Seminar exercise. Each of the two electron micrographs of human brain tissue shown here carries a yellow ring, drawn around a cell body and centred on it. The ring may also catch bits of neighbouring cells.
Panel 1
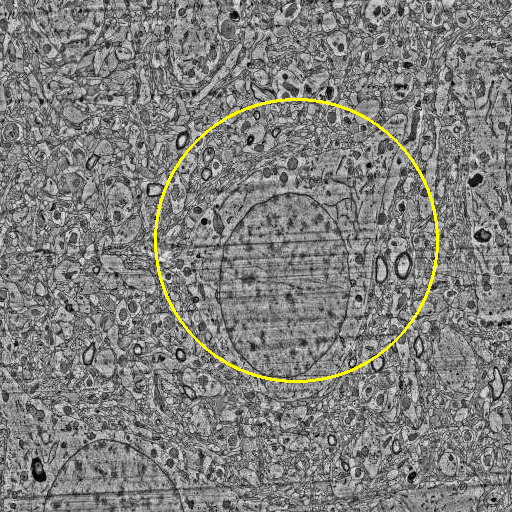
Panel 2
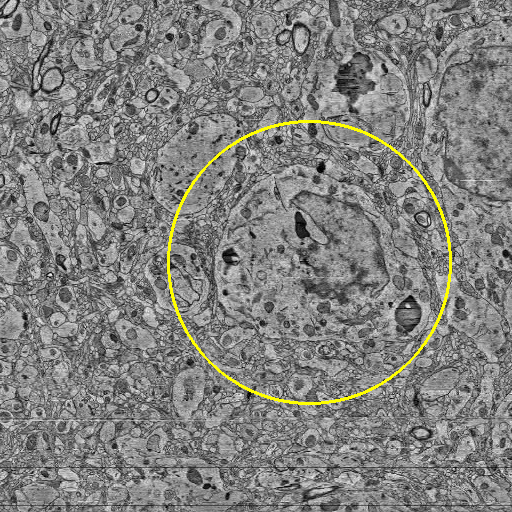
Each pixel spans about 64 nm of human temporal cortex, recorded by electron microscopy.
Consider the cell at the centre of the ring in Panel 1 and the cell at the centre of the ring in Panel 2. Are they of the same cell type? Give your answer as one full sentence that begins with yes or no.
No, the two cells are of two types.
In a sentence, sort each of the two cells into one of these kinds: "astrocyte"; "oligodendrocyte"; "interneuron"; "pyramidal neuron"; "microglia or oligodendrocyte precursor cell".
The first of the two cells is a pyramidal neuron, and the second is an interneuron.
